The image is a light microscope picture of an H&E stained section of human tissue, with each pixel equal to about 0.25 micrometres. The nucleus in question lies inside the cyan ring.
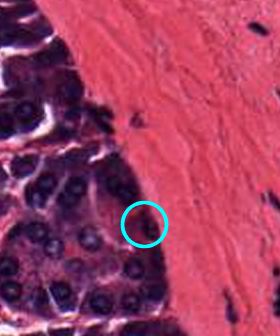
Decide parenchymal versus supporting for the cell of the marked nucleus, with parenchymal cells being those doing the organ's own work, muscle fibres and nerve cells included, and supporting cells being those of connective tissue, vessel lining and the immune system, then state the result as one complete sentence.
It is to a pancreatic acinar cell, a parenchymal cell, that the marked nucleus belongs.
